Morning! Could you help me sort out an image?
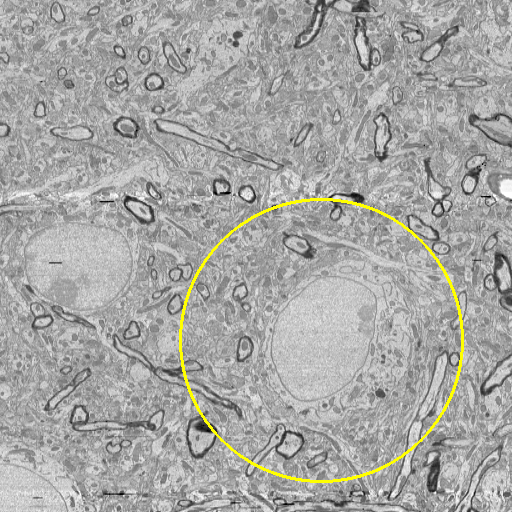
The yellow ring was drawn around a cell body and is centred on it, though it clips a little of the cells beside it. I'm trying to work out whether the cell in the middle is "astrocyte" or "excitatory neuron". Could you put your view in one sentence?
The ringed cell body is that of an excitatory neuron.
